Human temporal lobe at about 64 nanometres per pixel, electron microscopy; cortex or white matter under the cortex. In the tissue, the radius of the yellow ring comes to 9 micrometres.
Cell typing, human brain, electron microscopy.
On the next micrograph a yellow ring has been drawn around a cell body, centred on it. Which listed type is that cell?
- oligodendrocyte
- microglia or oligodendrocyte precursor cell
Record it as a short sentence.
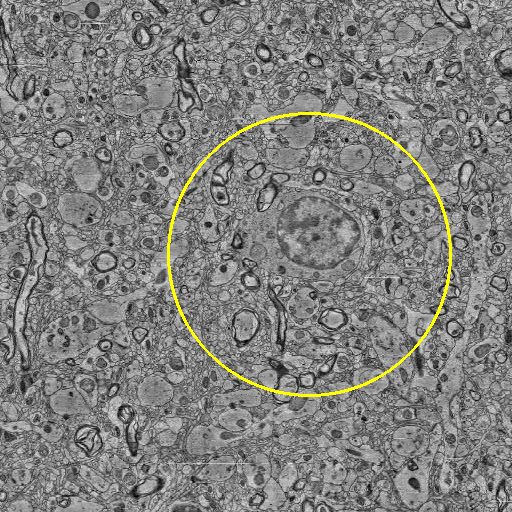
The cell body in the ring's centre belongs to an oligodendrocyte.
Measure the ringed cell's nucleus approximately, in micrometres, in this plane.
About 5 micrometers across, in this plane.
